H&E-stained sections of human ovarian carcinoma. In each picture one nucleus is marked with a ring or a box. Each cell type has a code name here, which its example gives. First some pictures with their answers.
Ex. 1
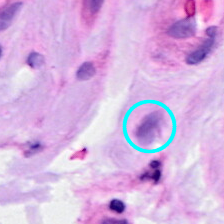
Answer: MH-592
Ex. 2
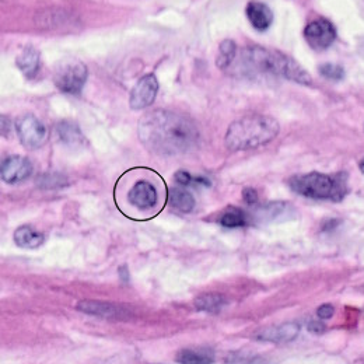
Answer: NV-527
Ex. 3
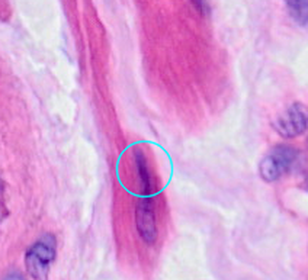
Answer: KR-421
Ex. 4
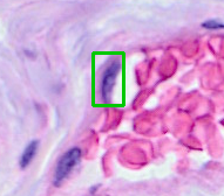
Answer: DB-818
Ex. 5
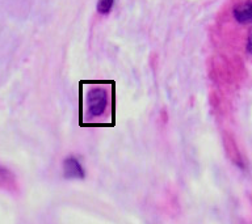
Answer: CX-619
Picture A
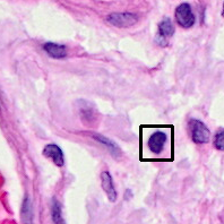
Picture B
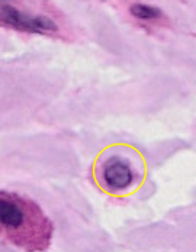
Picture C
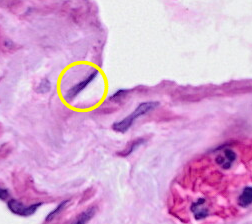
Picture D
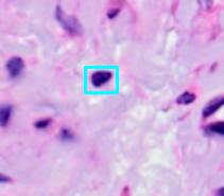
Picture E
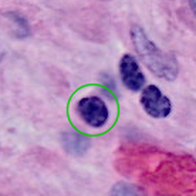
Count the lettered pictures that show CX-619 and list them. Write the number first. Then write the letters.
1: B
